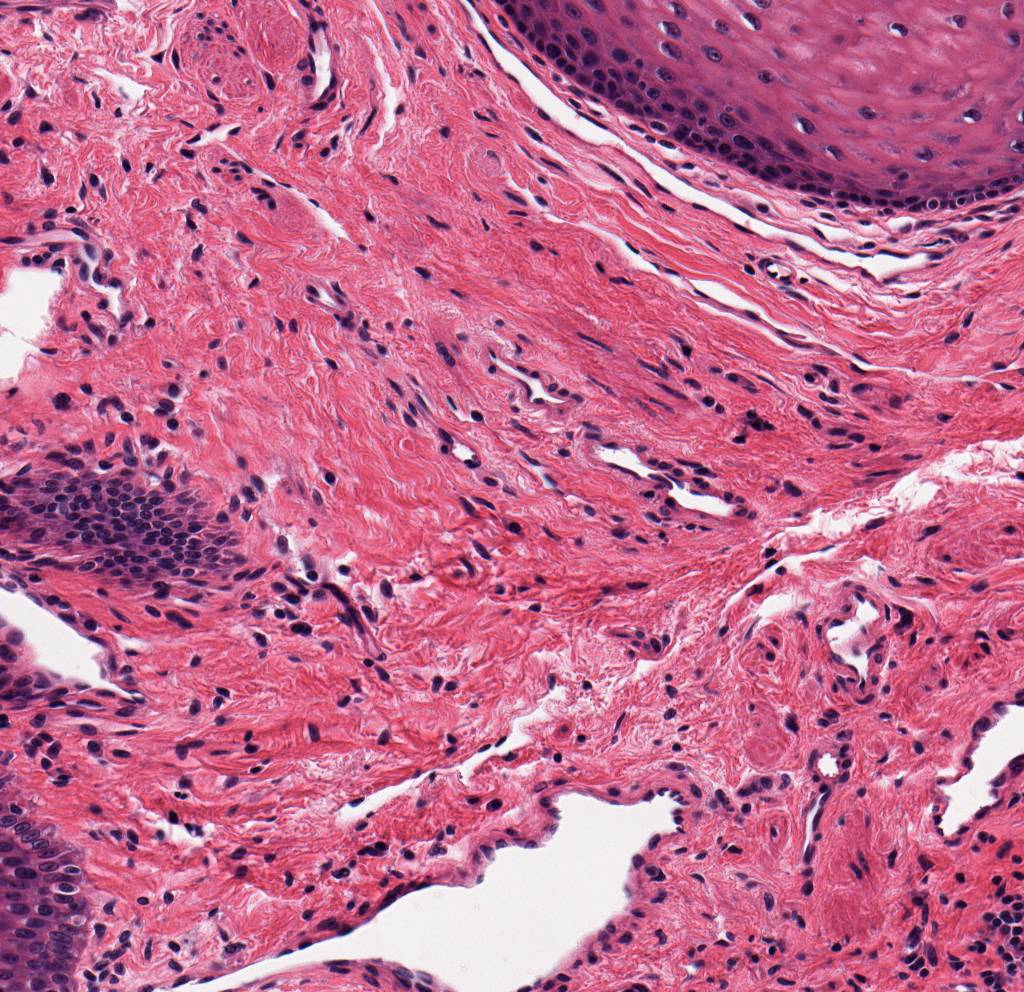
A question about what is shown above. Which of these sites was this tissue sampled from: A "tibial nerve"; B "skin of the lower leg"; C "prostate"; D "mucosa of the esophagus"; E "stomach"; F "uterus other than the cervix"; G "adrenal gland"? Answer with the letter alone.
D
